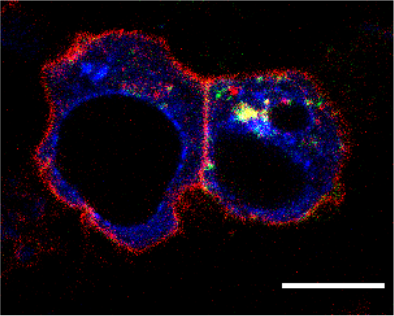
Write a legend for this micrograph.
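Two rounded cultured cells lie side by side, each with a dark unlabelled centre where the nucleus sits and a rim of blue cytoplasm around it. A thin red line outlines both cells at their surface, including along the border they share. In the right-hand cell a bright yellow-white cluster lies in the cytoplasm next to the dark nucleus, where red, green and blue overlap. Faint green dots also lie scattered along the cell edge.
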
